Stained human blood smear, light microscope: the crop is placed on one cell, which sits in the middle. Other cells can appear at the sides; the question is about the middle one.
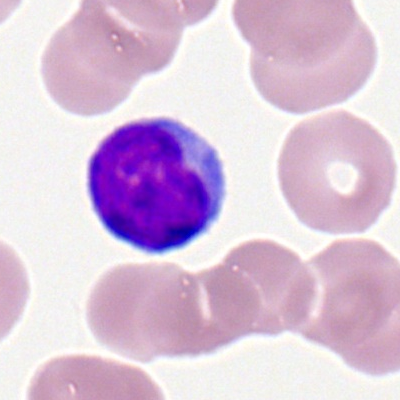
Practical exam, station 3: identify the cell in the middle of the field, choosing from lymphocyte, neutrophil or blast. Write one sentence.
The middle cell in this particular crop is a lymphocyte.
